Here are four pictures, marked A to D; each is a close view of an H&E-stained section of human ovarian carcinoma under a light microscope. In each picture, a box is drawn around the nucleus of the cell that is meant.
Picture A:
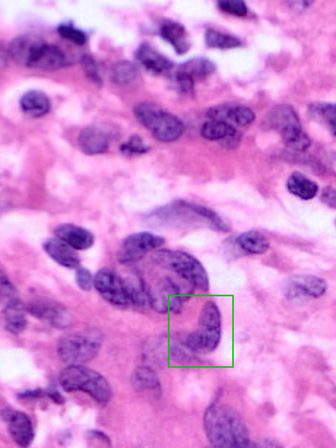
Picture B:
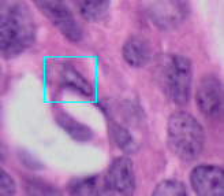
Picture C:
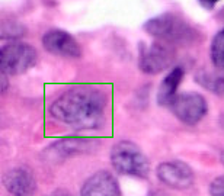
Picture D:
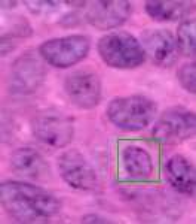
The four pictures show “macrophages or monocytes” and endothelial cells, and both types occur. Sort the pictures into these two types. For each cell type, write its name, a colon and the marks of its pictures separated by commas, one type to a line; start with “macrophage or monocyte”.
macrophage or monocyte: D
endothelial cell: A, B, C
